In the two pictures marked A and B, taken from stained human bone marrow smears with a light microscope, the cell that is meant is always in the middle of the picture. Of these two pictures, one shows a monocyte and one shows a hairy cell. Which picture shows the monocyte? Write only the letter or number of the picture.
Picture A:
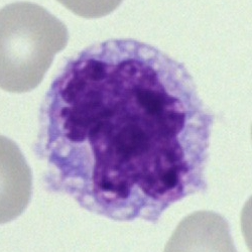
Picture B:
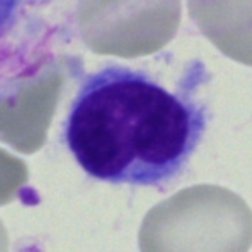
A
